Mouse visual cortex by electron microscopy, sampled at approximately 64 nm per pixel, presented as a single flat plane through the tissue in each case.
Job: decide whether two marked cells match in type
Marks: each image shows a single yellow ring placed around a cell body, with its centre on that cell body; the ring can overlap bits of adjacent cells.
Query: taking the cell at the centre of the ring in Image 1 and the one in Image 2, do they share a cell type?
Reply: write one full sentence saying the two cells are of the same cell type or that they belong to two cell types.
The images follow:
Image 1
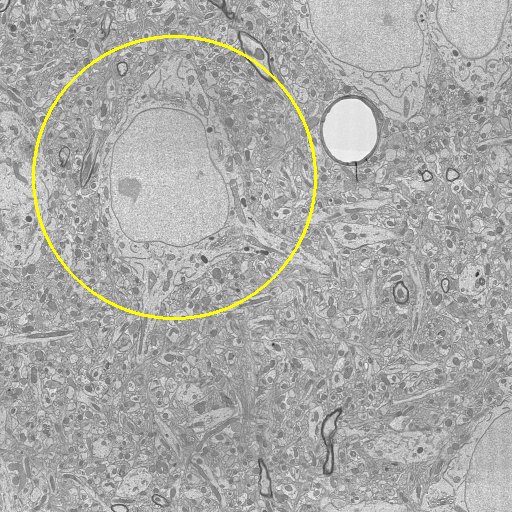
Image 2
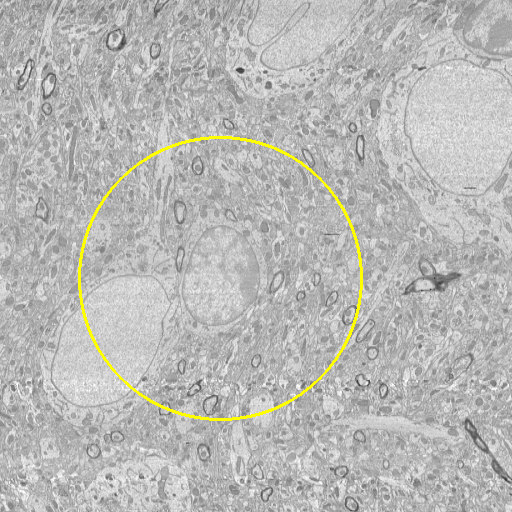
The cells at the ring centres in Image 1 and Image 2 belong to two cell types.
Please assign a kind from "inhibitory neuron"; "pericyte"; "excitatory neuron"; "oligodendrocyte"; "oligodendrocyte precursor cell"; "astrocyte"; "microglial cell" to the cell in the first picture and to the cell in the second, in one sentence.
In the first picture we have an excitatory neuron, and in the second, an oligodendrocyte.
